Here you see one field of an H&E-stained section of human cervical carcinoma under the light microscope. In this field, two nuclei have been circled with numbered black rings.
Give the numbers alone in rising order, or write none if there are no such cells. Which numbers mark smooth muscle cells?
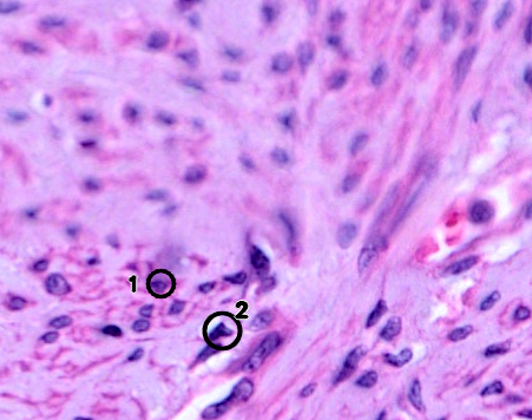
1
